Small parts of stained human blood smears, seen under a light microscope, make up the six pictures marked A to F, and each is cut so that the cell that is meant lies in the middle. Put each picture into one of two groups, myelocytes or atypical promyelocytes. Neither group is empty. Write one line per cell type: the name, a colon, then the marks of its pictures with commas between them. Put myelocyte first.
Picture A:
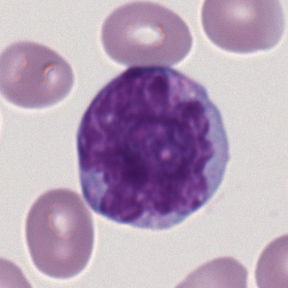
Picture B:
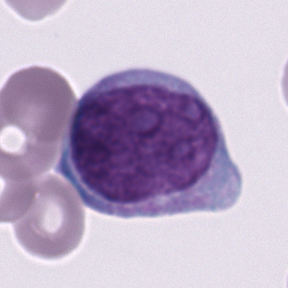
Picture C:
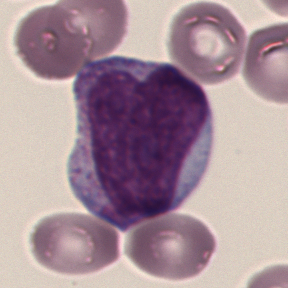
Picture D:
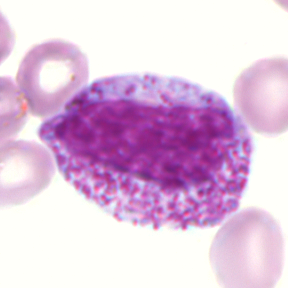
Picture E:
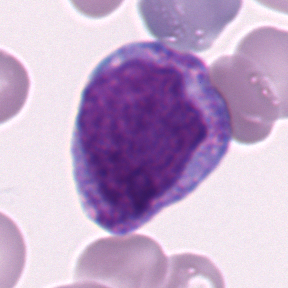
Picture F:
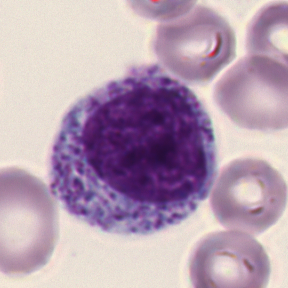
myelocyte: D, F
atypical promyelocyte: A, B, C, E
